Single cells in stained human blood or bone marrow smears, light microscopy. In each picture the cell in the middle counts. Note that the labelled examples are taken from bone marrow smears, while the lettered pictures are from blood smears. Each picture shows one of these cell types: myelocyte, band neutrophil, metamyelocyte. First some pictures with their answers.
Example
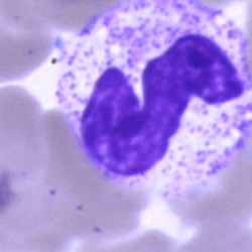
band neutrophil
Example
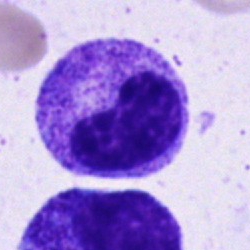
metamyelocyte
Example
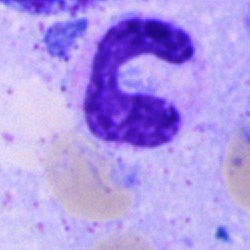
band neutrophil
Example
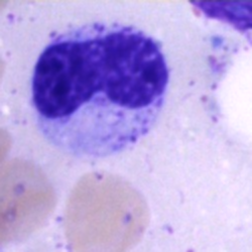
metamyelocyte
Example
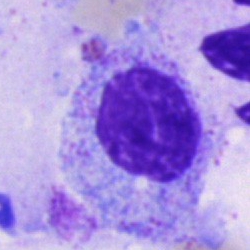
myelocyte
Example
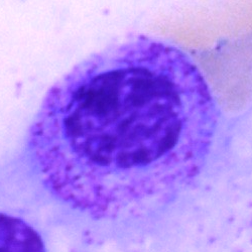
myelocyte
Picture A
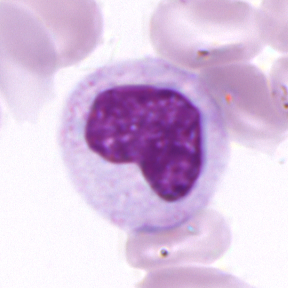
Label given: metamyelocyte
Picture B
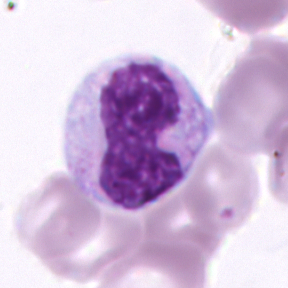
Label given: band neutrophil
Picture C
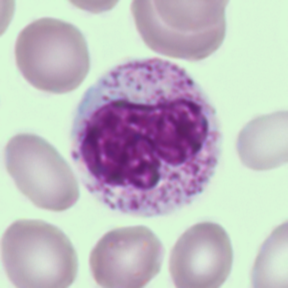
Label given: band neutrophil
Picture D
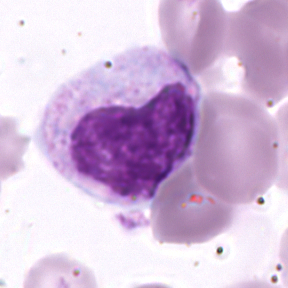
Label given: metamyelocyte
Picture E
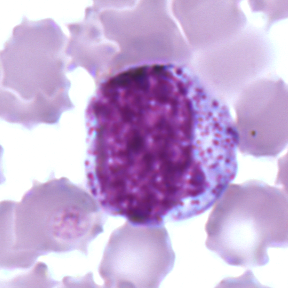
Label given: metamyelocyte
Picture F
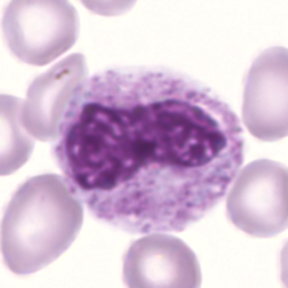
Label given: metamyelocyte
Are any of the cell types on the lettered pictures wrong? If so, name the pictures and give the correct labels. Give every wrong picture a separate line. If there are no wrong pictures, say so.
No label is wrong.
